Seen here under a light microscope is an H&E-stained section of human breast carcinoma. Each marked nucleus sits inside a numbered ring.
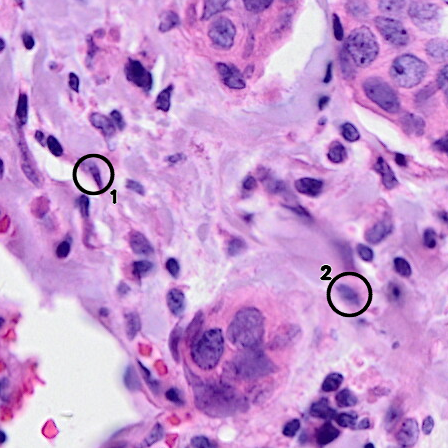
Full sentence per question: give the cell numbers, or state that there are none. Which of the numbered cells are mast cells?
Of the numbered cells, only cell 2 is a mast cell.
